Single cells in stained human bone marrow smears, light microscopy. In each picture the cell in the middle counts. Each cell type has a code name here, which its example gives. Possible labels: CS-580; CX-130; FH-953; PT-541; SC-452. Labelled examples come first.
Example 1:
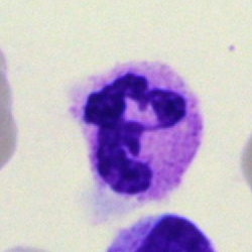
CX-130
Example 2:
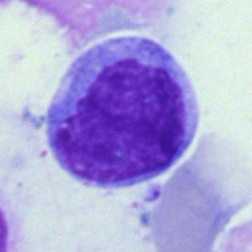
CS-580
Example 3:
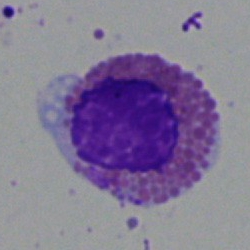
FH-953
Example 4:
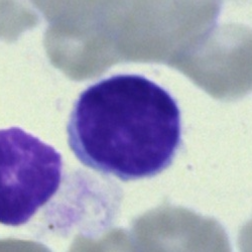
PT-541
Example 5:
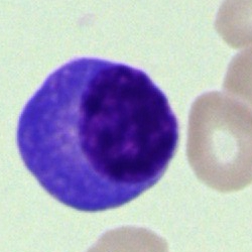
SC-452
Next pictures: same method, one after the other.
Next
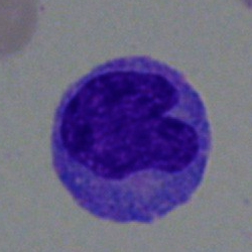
CS-580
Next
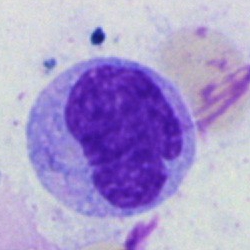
CS-580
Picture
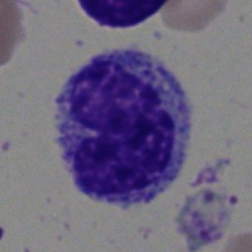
CS-580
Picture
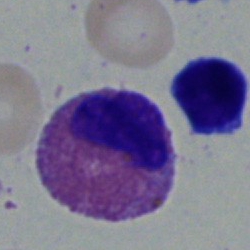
FH-953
